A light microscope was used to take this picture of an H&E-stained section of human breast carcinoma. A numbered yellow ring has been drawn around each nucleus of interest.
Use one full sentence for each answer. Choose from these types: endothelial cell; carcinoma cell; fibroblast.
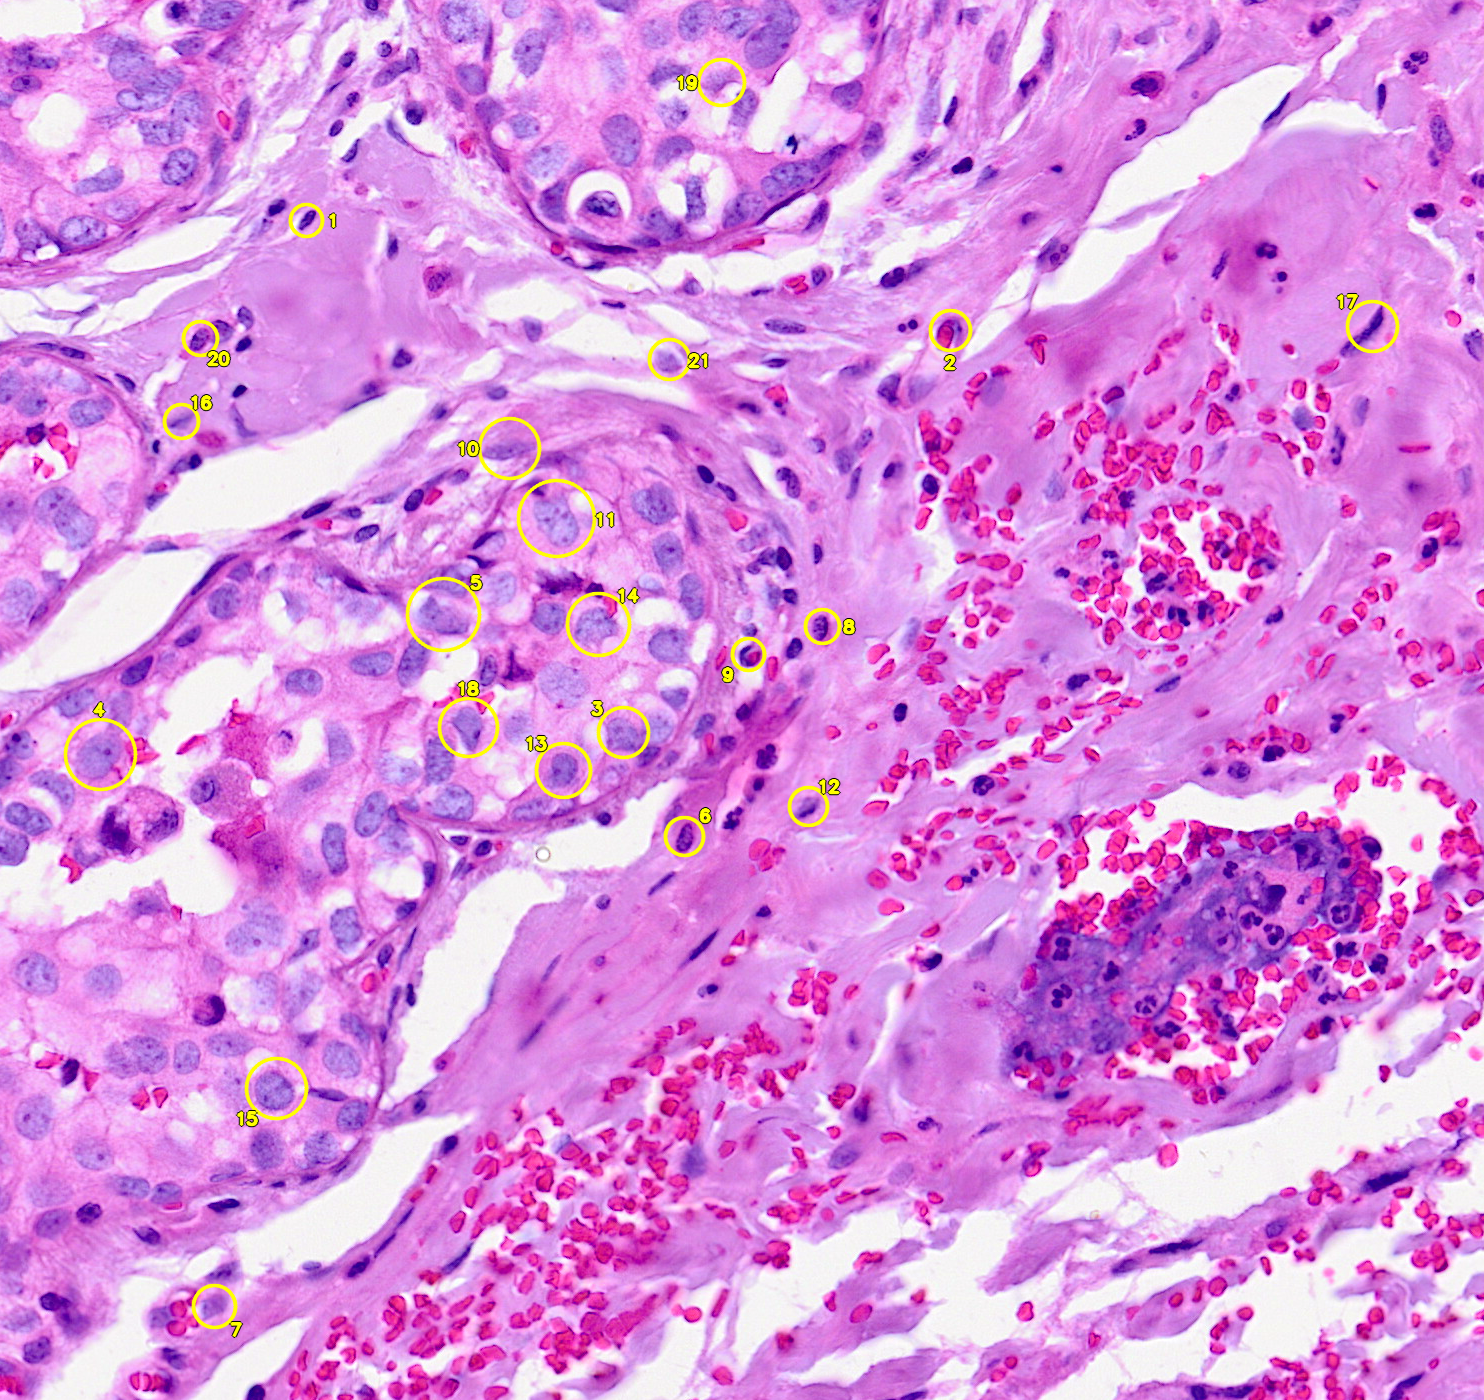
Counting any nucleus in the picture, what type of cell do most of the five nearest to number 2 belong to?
Fibroblasts account for more than half of the five nuclei nearest to number 2.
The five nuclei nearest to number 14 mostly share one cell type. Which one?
Most of the five nuclei nearest to number 14 are those of carcinoma cells.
